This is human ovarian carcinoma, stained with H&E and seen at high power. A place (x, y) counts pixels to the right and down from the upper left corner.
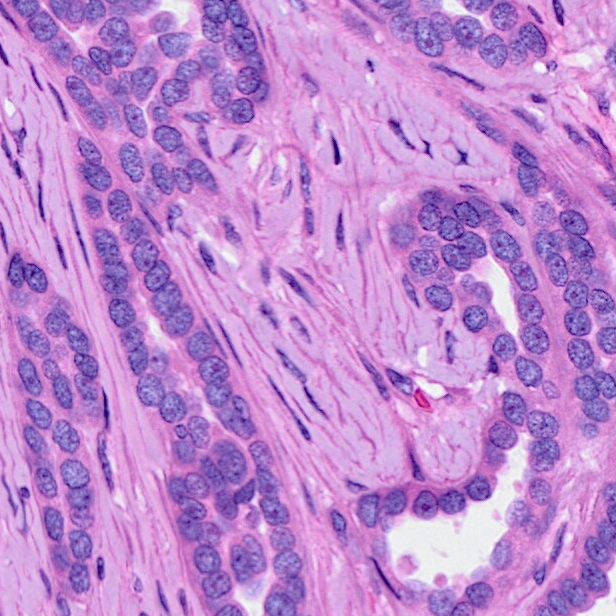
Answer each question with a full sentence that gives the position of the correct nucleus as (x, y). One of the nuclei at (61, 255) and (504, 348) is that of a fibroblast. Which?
Only the nucleus at (61, 255), of the two, belongs to a fibroblast.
